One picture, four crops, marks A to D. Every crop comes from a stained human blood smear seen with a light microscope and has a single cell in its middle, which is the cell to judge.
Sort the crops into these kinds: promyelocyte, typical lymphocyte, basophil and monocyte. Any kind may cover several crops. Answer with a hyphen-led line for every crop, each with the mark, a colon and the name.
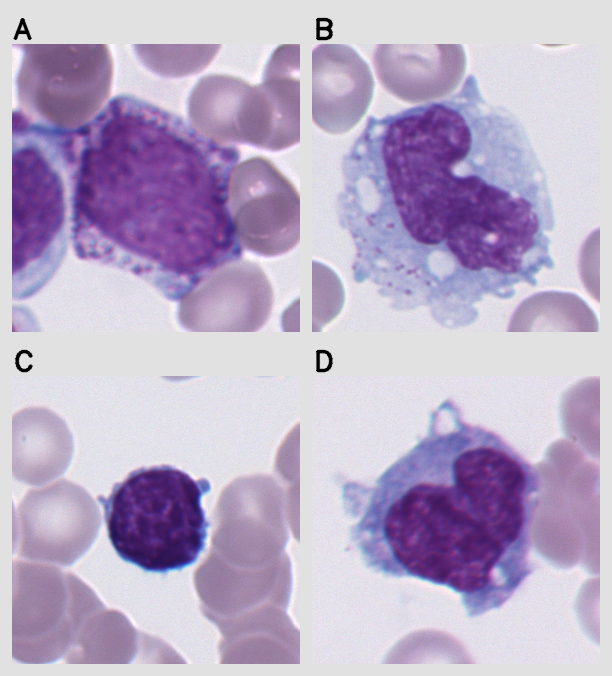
- A: promyelocyte
- B: monocyte
- C: typical lymphocyte
- D: monocyte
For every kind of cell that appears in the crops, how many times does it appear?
monocyte: 2
promyelocyte: 1
typical lymphocyte: 1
